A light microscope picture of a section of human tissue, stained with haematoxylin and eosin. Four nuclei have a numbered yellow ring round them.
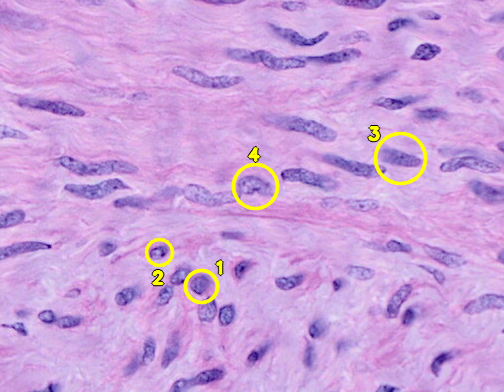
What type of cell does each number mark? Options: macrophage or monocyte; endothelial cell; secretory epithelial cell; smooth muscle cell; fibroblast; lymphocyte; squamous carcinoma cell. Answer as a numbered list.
1. smooth muscle cell
2. smooth muscle cell
3. fibroblast
4. smooth muscle cell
